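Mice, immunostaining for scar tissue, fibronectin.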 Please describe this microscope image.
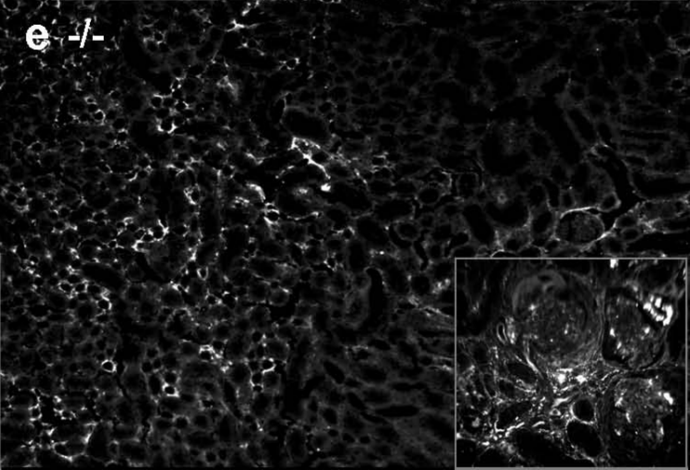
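This is kidney tissue with many small round and elongated tubular cross-sections, their walls and the spaces between them marked by bright, irregular, patchy signal that is densest in the left half of the field. The inset shows a glomerular region with grey concentric outlines and bright, clumped deposits gathered around and beside it.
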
